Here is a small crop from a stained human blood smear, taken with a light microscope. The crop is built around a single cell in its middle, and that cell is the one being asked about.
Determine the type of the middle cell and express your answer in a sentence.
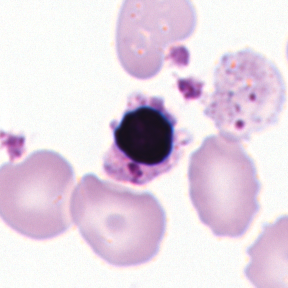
Among the cells in view, the one in the middle is a normoblast.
